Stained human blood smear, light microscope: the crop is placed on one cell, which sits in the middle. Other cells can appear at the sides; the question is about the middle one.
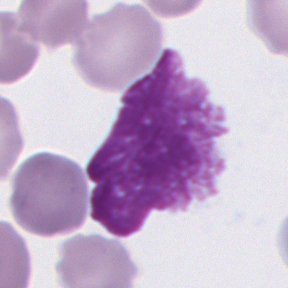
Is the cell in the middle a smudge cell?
yes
